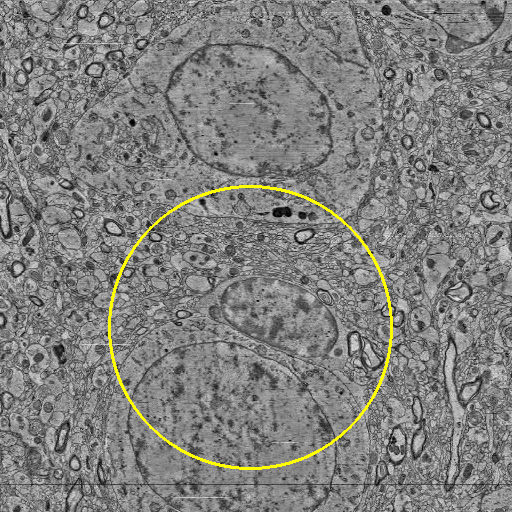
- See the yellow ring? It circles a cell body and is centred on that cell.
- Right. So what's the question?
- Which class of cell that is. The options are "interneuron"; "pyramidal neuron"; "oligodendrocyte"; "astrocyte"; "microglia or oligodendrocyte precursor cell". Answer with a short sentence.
The centre of the ring holds an oligodendrocyte.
